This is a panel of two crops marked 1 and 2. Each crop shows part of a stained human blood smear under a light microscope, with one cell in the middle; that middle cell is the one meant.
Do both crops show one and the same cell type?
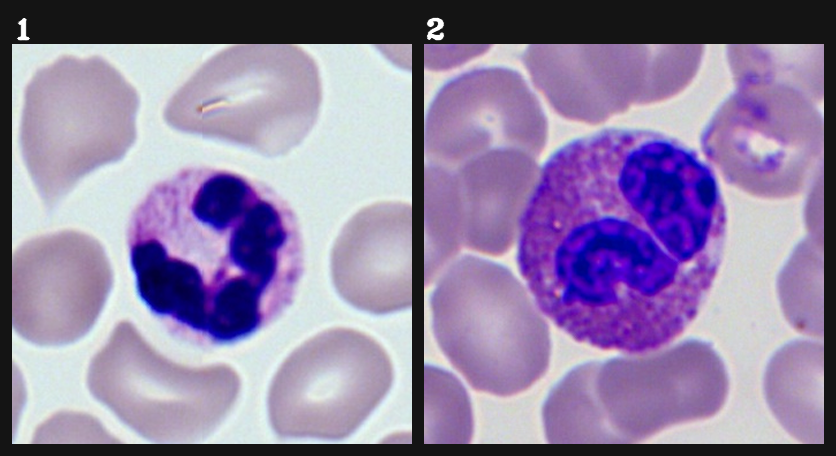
no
